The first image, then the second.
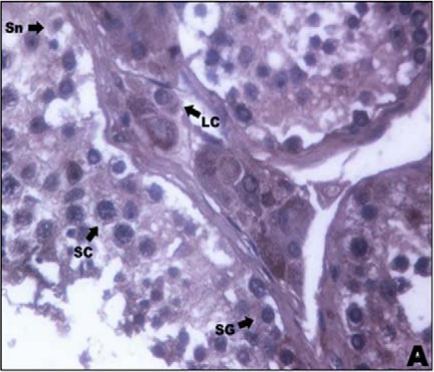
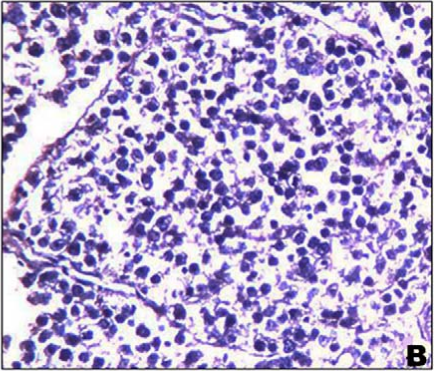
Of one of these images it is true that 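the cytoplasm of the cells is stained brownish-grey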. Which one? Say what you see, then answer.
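The first image. Second image: the cells show blue-purple nuclei with pale, almost unstained cytoplasm. First image: the cytoplasm of the cells within and between the tubules is tinged brownish-grey.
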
